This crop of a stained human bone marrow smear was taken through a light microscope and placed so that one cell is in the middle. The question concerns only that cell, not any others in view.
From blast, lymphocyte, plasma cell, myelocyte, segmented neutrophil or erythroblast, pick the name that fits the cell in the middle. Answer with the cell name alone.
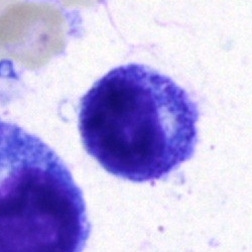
myelocyte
